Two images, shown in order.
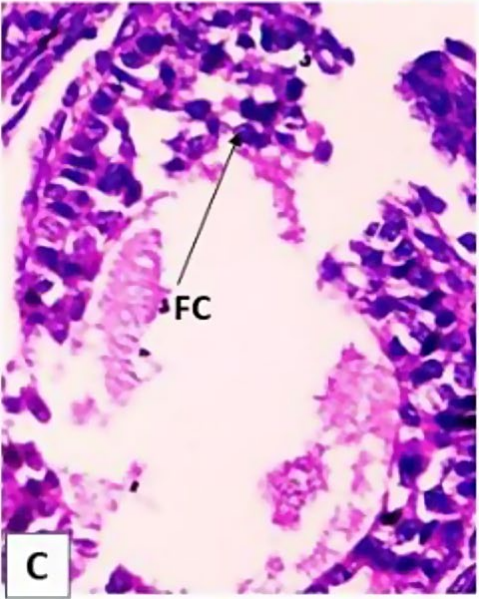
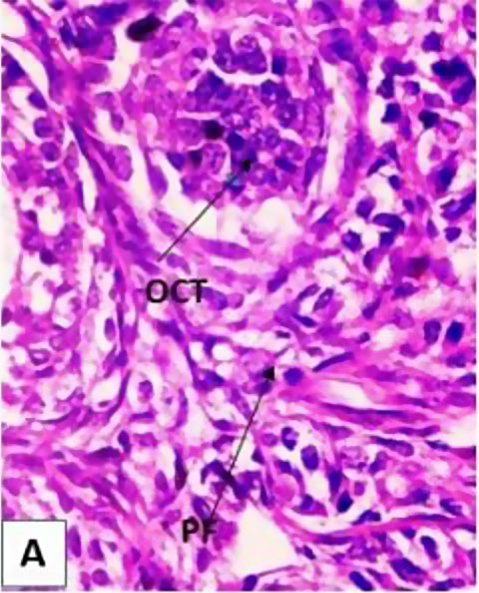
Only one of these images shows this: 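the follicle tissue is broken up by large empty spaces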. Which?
The first image.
